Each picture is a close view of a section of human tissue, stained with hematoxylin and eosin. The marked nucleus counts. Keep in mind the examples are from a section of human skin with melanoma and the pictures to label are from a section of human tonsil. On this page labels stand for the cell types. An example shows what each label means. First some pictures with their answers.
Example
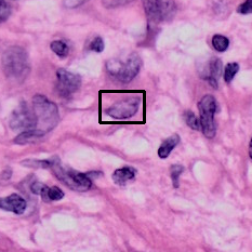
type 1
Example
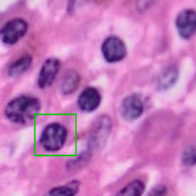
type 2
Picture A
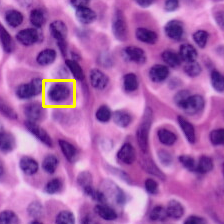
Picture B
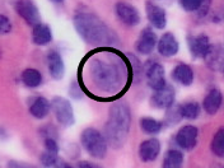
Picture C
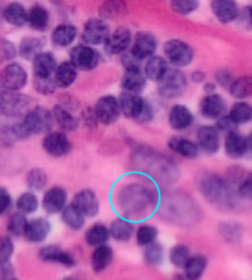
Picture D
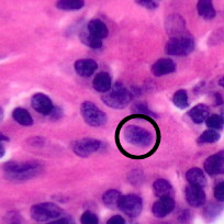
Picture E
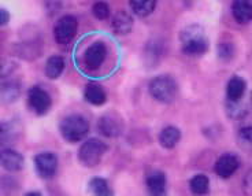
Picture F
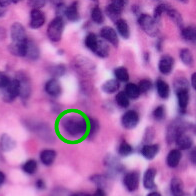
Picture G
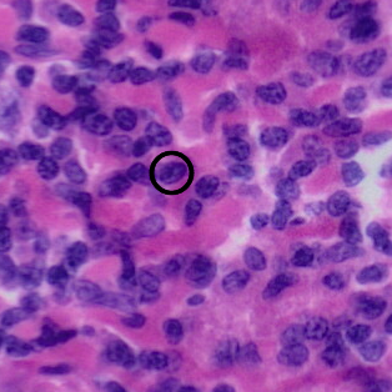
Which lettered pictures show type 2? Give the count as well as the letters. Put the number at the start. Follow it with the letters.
3: A, E, G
